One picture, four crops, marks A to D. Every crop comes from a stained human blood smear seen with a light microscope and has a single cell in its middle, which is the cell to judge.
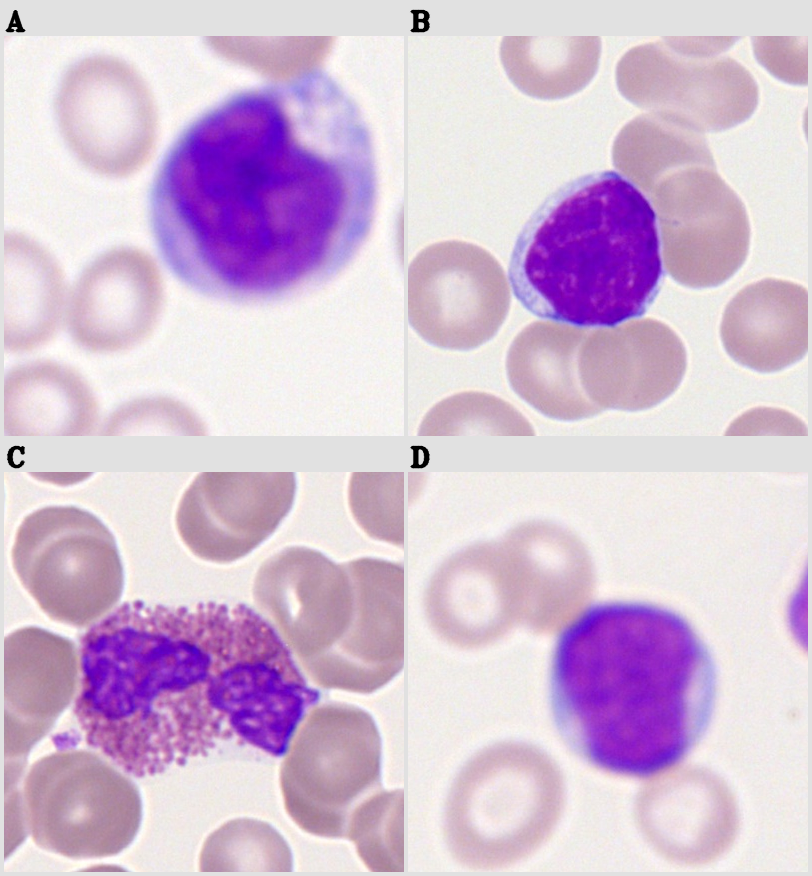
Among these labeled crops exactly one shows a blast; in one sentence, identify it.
Among the crops, only crop D contains a blast.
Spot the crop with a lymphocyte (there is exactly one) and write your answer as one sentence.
Only in crop B is a lymphocyte shown.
